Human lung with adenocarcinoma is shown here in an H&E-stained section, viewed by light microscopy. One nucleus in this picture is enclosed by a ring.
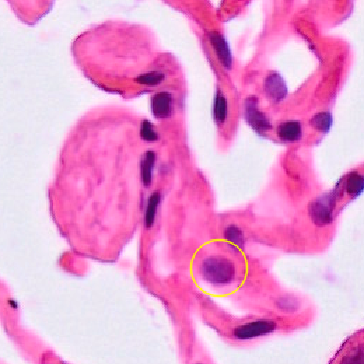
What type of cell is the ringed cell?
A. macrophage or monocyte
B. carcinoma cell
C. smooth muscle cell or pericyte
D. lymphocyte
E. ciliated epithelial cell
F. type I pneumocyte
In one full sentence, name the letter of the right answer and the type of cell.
Identified correctly by option F, the ringed cell is a type I pneumocyte.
